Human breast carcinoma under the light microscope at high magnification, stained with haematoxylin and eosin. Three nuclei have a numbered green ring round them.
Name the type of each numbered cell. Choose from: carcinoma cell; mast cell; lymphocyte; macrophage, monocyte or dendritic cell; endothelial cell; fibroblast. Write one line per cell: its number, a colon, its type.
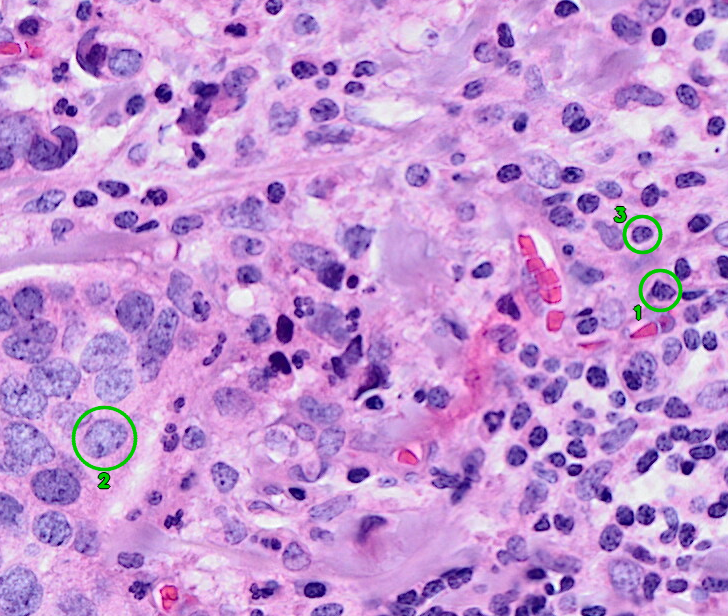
1: lymphocyte
2: carcinoma cell
3: lymphocyte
